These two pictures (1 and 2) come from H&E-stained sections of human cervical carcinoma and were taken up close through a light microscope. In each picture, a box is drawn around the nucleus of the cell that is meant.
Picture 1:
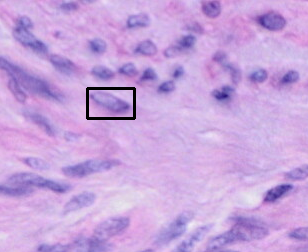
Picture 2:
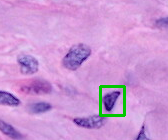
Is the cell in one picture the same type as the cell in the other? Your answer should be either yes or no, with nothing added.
no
